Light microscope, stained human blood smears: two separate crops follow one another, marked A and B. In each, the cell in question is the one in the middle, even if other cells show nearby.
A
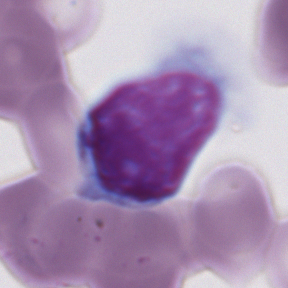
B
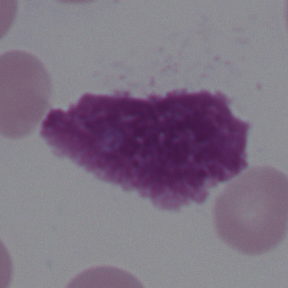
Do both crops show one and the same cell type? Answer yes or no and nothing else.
no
